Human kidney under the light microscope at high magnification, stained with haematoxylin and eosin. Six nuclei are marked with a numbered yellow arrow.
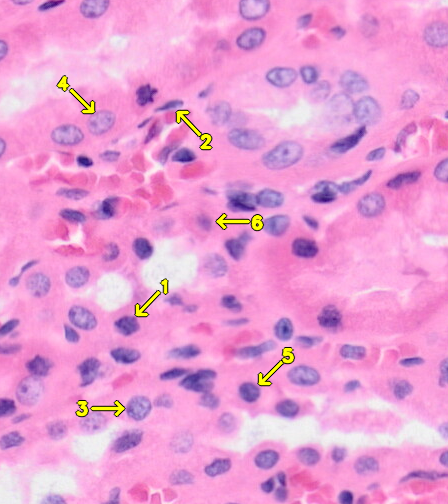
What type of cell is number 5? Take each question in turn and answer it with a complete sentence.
The nucleus labelled 5 belongs to a loop of Henle or distal tubule cell.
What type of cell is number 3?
Numbered cell 3 is a loop of Henle or distal tubule cell in this tissue section.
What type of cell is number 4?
That cell with number 4 is a proximal tubule cell.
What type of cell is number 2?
The nucleus labeled 2 belongs to an endothelial cell.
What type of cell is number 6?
The cell that bears the number 6 is a loop of Henle or distal tubule cell.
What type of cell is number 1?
In this section, number 1 marks a loop of Henle or distal tubule cell.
